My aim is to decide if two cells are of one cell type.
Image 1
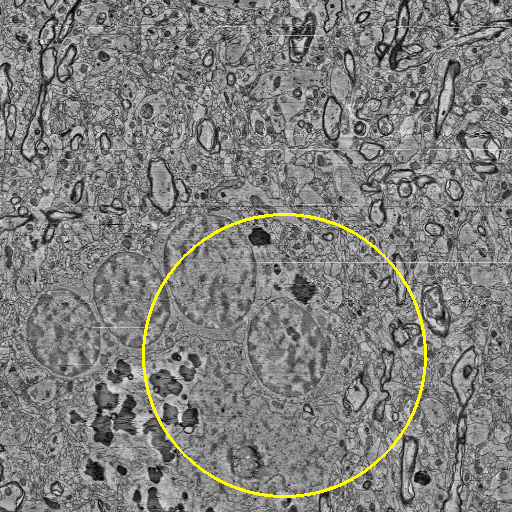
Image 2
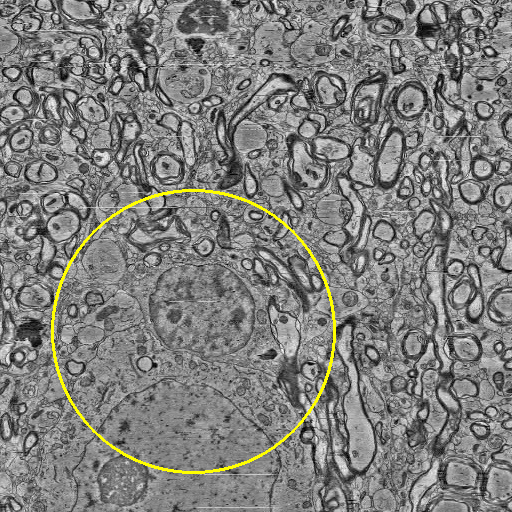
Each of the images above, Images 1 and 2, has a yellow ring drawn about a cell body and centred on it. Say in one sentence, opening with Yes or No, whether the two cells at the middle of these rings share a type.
Yes, in Images 1 and 2 the cells at the middle of the rings share one type.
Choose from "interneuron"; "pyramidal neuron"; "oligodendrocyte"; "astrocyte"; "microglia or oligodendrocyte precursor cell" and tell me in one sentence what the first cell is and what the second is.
Each of the two rings is centred on an oligodendrocyte.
